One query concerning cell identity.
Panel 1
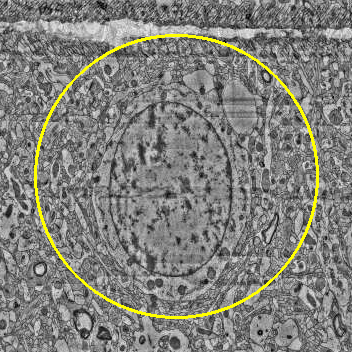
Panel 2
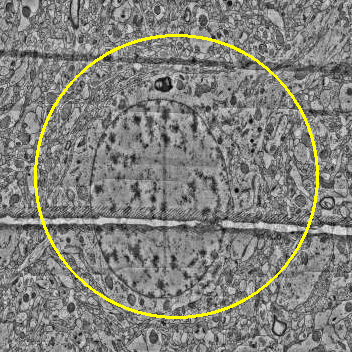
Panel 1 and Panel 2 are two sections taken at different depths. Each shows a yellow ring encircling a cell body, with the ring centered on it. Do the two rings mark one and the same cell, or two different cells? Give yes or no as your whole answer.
no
